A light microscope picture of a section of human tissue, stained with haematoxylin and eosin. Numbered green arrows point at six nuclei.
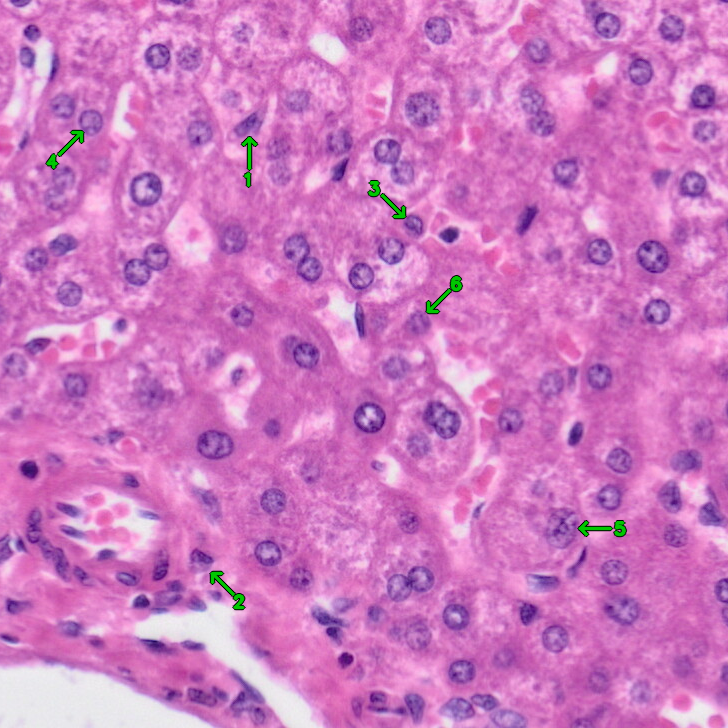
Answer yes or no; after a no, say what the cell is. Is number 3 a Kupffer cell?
Yes.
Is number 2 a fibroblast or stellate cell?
Yes.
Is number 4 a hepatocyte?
Yes.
